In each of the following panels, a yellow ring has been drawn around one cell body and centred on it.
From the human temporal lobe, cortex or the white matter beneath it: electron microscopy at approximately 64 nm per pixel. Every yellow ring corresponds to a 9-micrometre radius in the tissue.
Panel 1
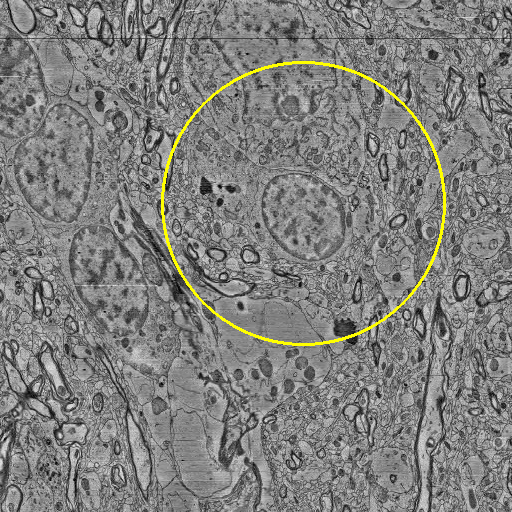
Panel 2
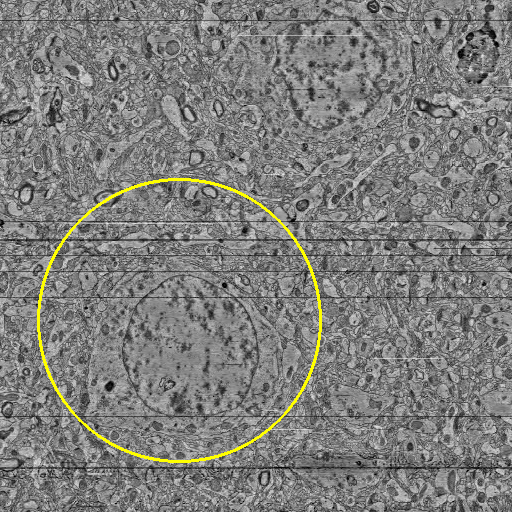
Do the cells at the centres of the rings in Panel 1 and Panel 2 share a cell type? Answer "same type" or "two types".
two types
